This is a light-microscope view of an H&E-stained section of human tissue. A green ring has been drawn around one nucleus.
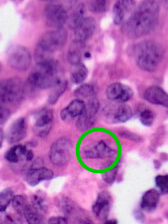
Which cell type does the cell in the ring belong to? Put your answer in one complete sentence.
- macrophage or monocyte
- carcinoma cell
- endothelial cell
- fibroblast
In the stained section, the cell in the ring is an endothelial cell.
